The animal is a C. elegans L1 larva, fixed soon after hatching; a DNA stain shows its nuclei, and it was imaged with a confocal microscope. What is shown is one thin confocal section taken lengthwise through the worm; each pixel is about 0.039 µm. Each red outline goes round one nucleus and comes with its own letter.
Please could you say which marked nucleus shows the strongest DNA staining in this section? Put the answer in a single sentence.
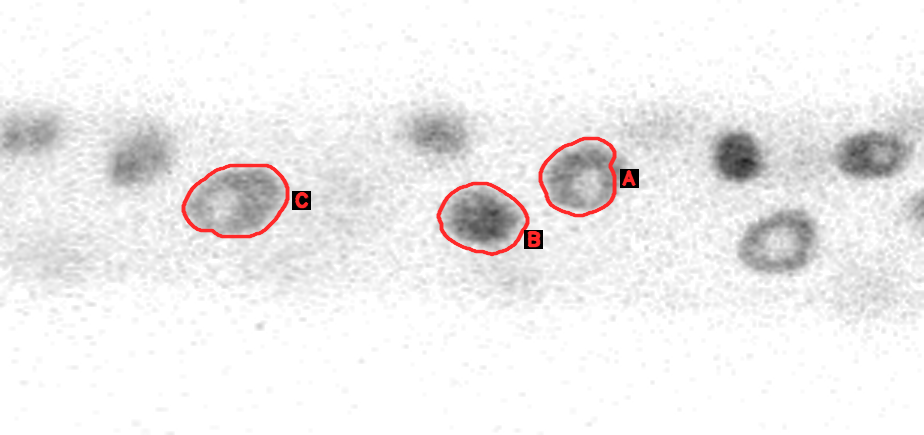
B is the most strongly stained.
